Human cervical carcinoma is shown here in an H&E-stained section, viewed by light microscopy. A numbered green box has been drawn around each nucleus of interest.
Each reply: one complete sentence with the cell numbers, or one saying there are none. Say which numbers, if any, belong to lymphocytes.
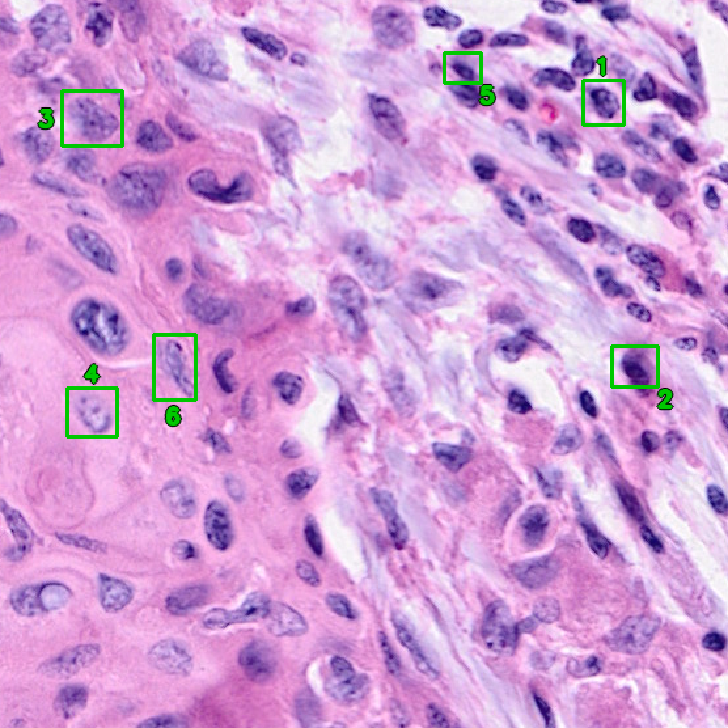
Cells 1, 2 and 5 in the section are typed as lymphocytes.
